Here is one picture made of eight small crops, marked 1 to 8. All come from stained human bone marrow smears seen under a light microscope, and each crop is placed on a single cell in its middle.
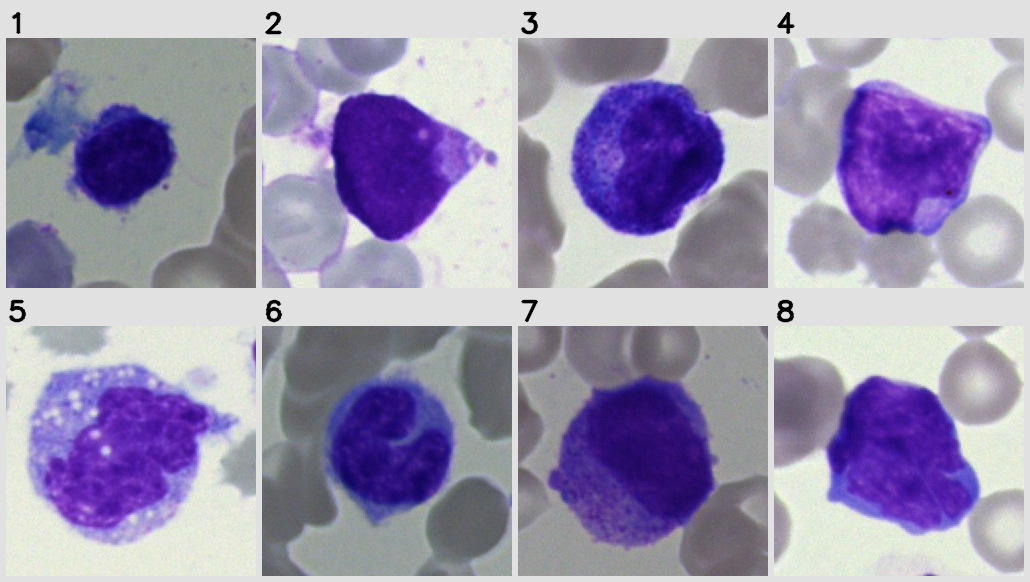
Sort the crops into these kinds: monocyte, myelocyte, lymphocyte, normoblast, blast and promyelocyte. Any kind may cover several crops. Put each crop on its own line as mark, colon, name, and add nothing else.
1: lymphocyte
2: blast
3: promyelocyte
4: blast
5: monocyte
6: monocyte
7: blast
8: blast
